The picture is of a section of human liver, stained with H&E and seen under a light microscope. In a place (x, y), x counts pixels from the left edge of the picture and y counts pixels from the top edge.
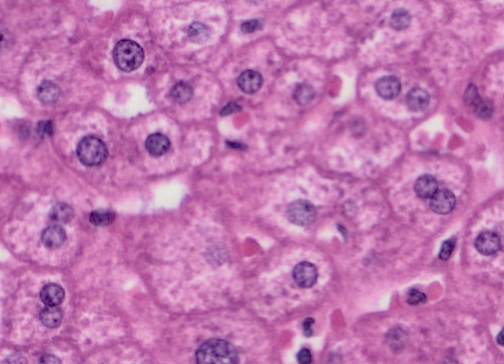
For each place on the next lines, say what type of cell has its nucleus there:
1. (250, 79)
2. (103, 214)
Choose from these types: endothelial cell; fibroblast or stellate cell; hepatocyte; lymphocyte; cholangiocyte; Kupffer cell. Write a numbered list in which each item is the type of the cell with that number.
1. hepatocyte
2. endothelial cell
